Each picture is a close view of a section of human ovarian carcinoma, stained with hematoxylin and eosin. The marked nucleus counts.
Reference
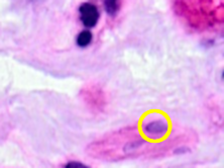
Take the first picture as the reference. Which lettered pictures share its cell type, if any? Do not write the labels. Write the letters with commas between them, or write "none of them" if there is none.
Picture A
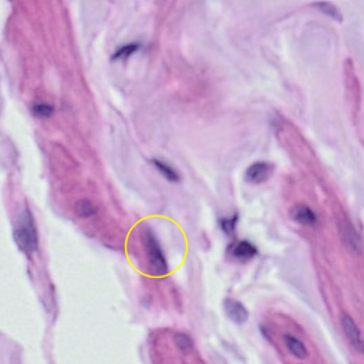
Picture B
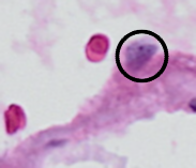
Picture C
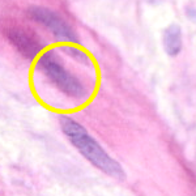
A, C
